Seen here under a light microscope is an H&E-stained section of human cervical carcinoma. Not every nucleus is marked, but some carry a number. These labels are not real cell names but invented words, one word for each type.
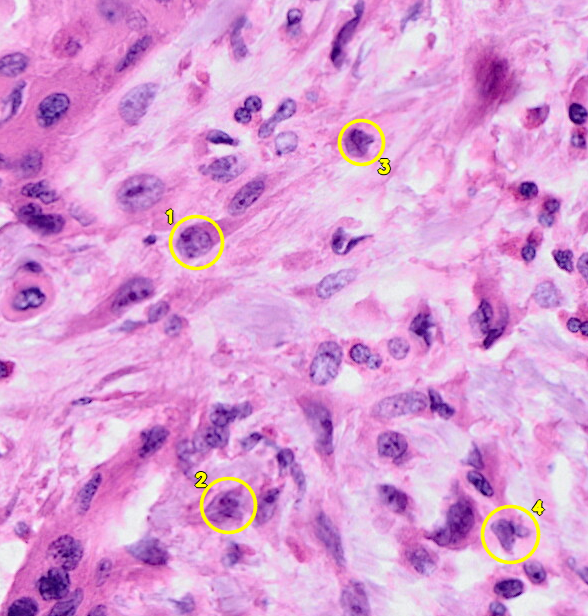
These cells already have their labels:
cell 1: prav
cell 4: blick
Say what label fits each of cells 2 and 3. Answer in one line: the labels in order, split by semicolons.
prav; blick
